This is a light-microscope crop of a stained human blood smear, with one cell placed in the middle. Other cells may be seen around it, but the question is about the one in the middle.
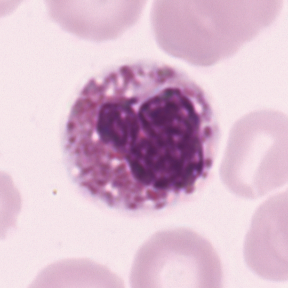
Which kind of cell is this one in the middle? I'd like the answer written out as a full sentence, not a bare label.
The cell nearest the centre of this crop is an eosinophil.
